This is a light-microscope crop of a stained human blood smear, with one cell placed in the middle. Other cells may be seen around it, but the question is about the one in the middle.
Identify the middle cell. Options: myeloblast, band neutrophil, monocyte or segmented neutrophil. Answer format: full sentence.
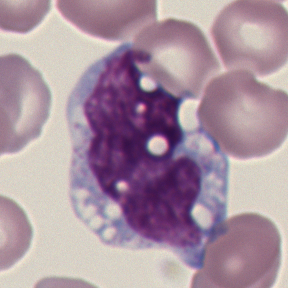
In the middle of this smear crop, the cell is a monocyte.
